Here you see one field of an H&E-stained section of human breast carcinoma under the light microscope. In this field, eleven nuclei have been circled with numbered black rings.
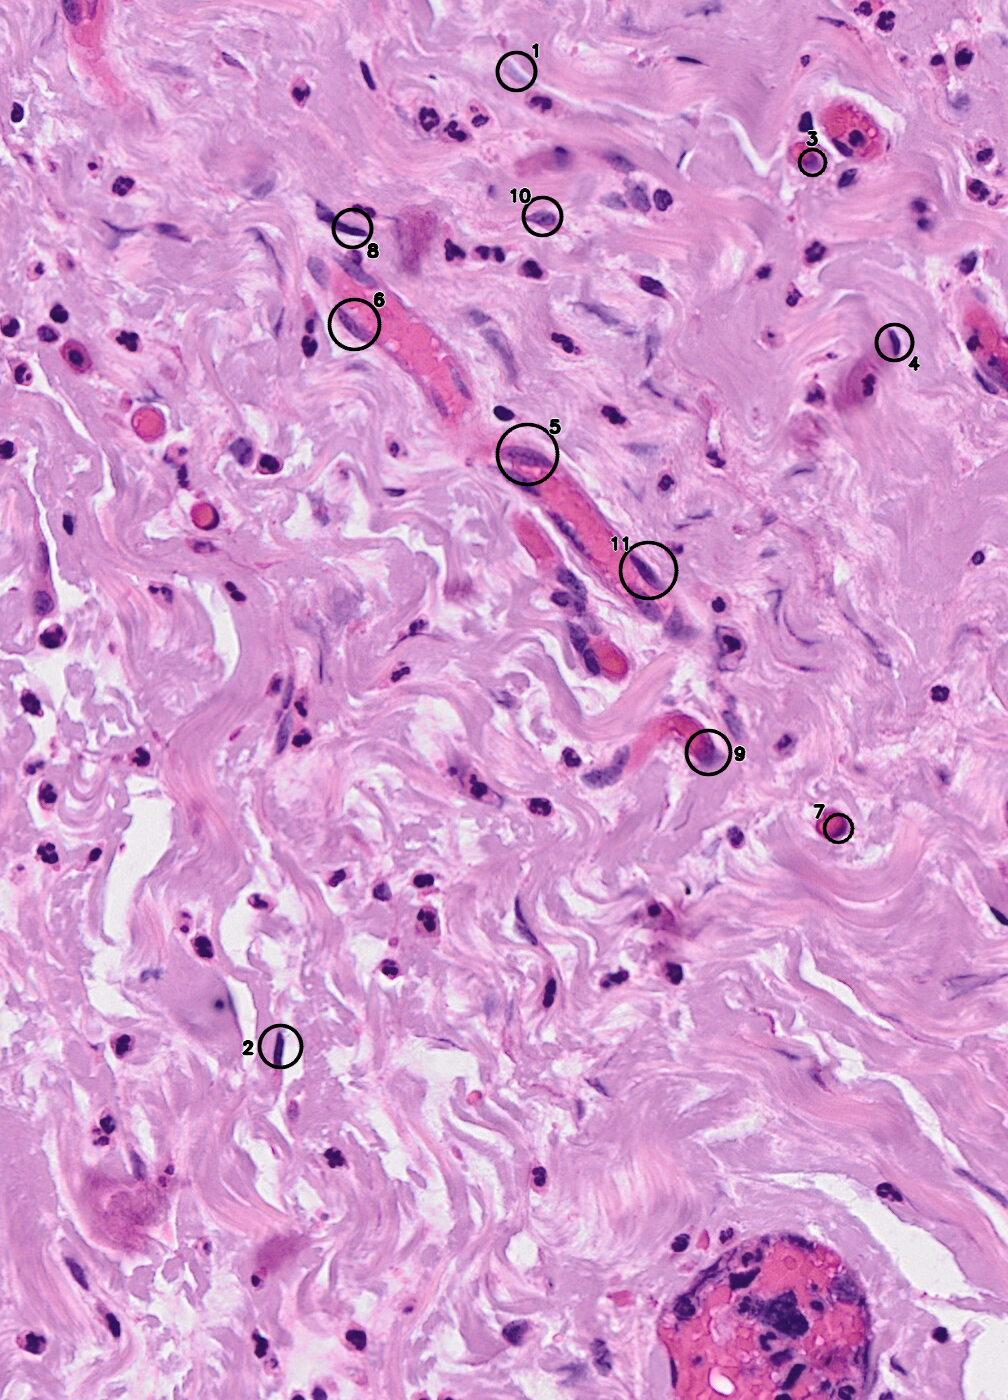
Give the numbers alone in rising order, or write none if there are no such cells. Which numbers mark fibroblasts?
1, 2, 4, 8, 10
